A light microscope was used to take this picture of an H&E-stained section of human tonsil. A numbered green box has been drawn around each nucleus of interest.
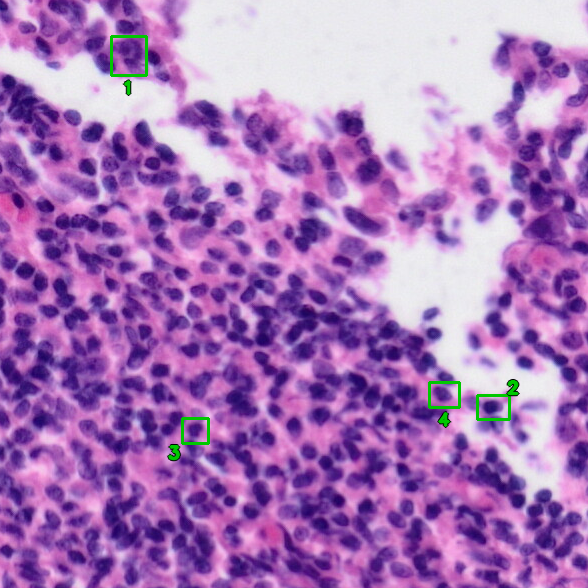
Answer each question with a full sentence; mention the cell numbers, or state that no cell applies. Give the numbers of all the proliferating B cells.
Mind that only cell 1 is a proliferating B cell, none of the rest.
